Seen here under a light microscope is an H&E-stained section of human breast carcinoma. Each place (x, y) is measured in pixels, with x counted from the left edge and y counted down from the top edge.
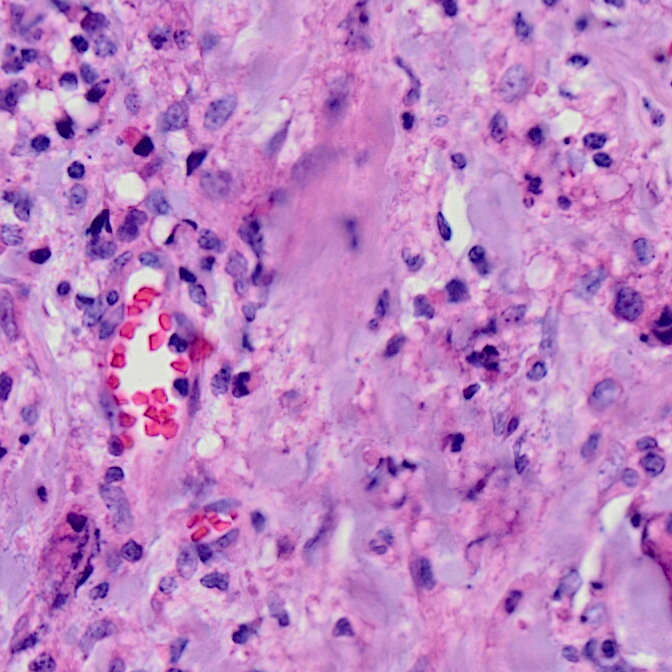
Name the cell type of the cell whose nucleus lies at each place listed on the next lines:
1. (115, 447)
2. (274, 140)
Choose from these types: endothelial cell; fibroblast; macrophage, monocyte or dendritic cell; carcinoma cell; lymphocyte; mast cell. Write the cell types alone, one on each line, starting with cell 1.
endothelial cell
fibroblast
